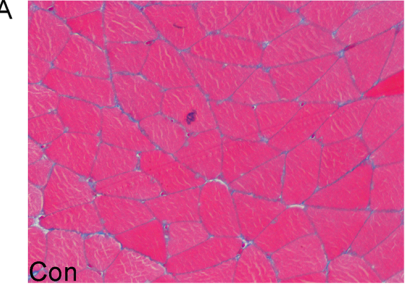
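This is a cross-section of skeletal muscle in which large red-stained muscle fibers are packed closely together. The fibers are polygonal and fairly uniform in size, fitting against one another with little space between them. Only thin blue lines outline each fiber, marking a slender layer of connective tissue. A few small dark nuclei sit at the edges of the fibers. Within the fibers a fine paler mottled texture is visible against the red cytoplasm.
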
